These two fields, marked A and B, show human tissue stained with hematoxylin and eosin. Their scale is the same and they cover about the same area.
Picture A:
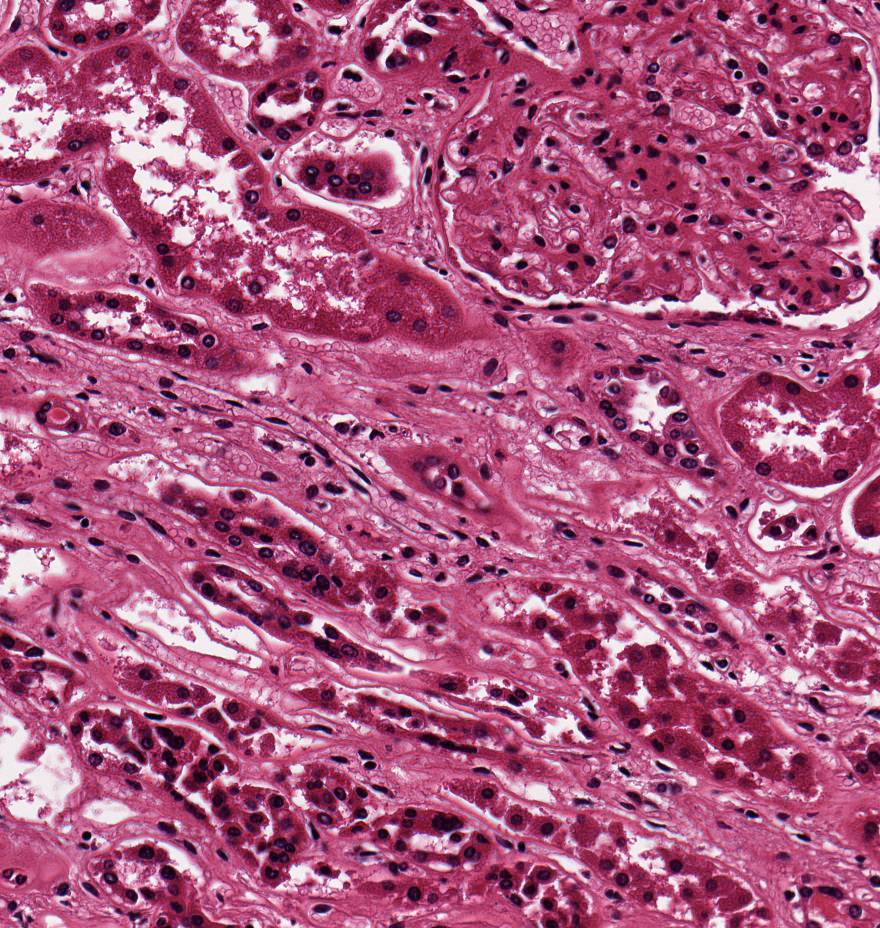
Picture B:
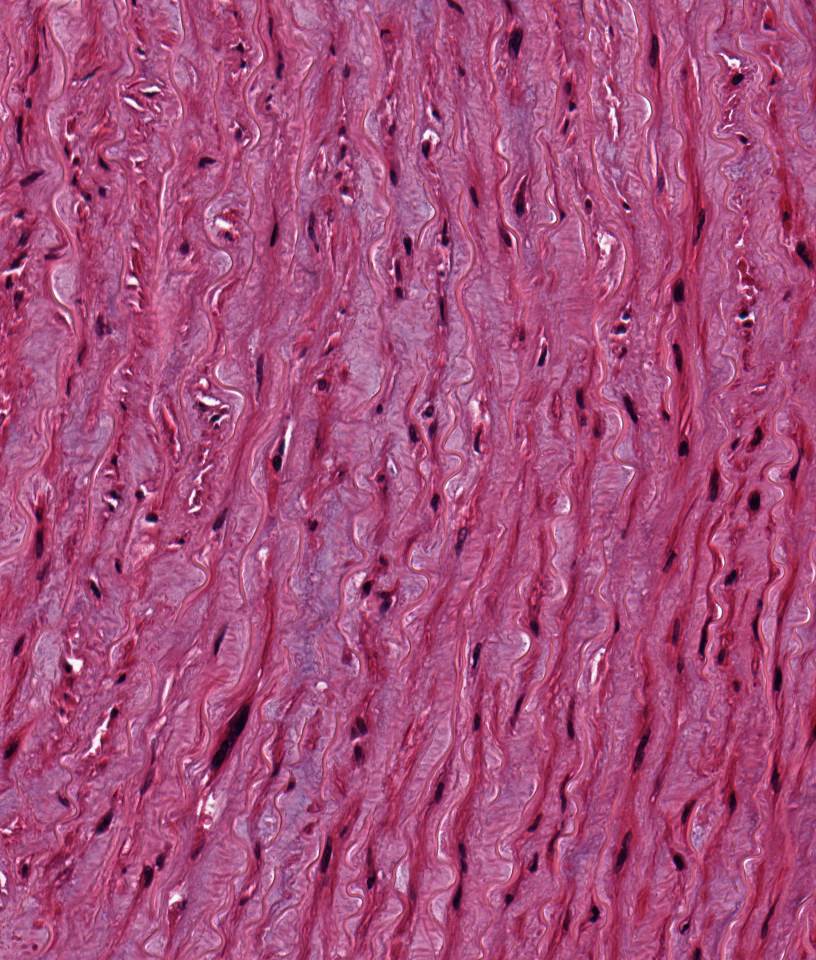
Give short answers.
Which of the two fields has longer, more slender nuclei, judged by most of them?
B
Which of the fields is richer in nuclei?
A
